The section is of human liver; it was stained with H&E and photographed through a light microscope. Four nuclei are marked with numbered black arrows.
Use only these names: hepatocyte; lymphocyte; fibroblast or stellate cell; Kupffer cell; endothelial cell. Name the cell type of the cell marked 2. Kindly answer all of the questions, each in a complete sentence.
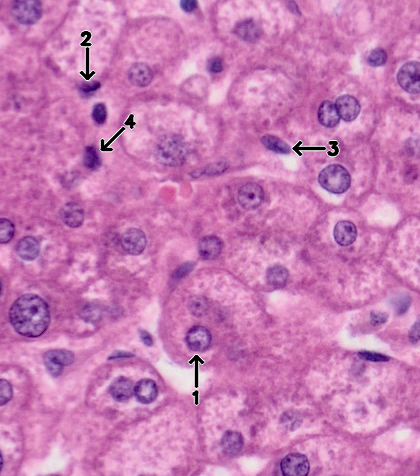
Classified as an endothelial cell is the cell with the number 2.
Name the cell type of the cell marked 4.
The cell indicated by marker 4 is a fibroblast or stellate cell in this section.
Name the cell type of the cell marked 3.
The marked cell with the number 3 is recognised as an endothelial cell.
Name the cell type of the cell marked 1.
The correct answer for cell 1 is a hepatocyte.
